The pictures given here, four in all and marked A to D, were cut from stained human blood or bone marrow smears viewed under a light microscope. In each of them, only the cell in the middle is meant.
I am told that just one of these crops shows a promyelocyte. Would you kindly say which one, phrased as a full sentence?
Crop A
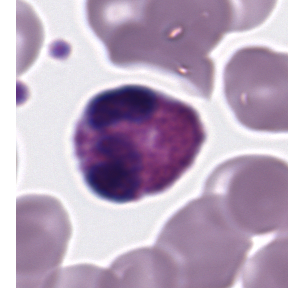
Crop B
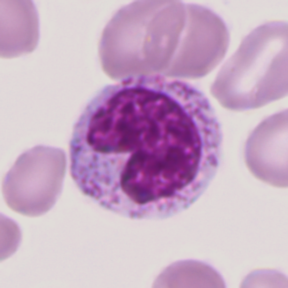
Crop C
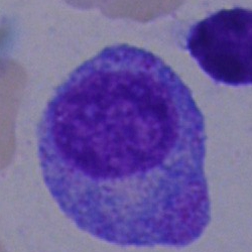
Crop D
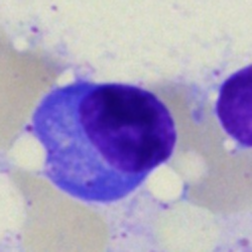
Of these crops, it is crop C that shows a promyelocyte.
